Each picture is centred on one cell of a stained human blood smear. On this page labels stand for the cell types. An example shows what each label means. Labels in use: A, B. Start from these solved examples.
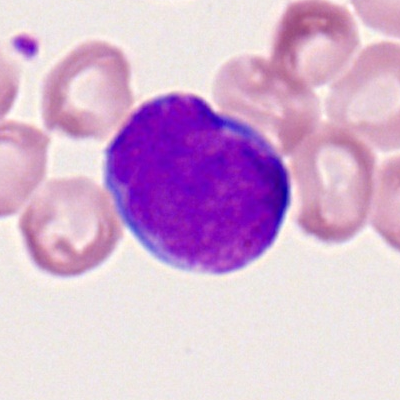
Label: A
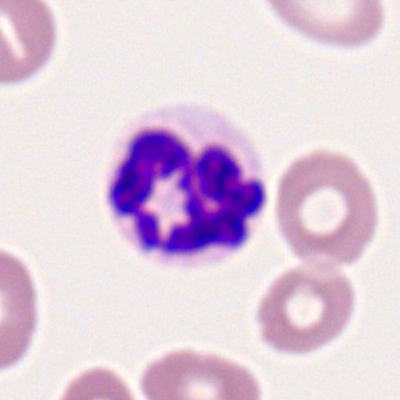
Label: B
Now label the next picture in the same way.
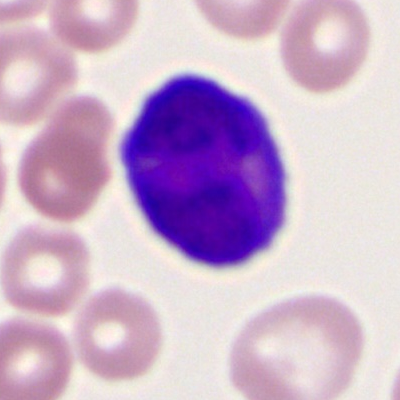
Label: A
